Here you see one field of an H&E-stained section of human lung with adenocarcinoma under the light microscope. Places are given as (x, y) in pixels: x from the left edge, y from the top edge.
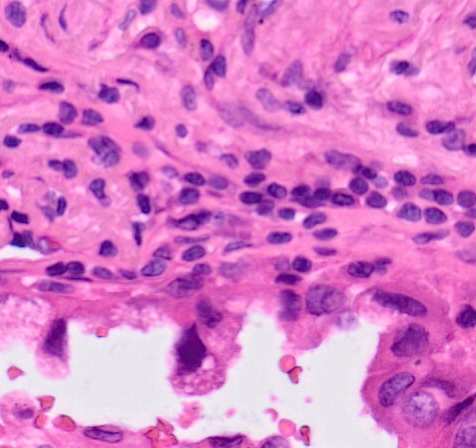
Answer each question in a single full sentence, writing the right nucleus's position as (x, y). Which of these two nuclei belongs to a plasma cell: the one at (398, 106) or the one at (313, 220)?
Among the two, the nucleus at (398, 106) is the nucleus of a plasma cell.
